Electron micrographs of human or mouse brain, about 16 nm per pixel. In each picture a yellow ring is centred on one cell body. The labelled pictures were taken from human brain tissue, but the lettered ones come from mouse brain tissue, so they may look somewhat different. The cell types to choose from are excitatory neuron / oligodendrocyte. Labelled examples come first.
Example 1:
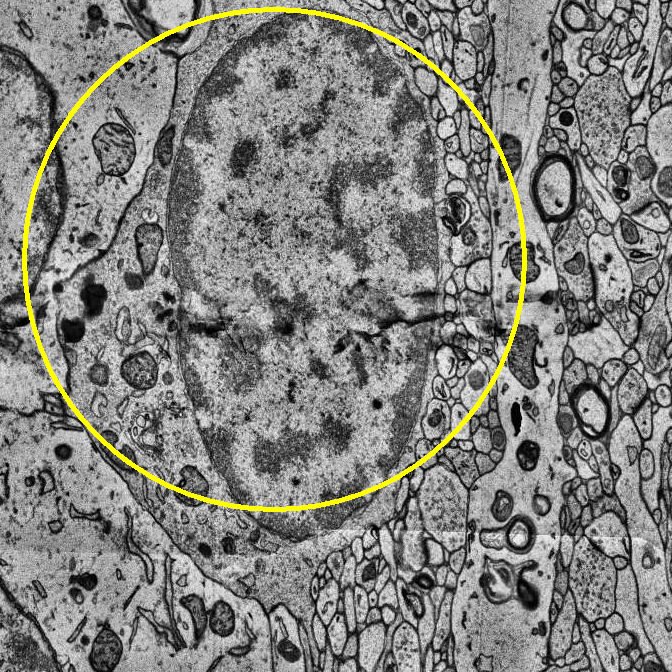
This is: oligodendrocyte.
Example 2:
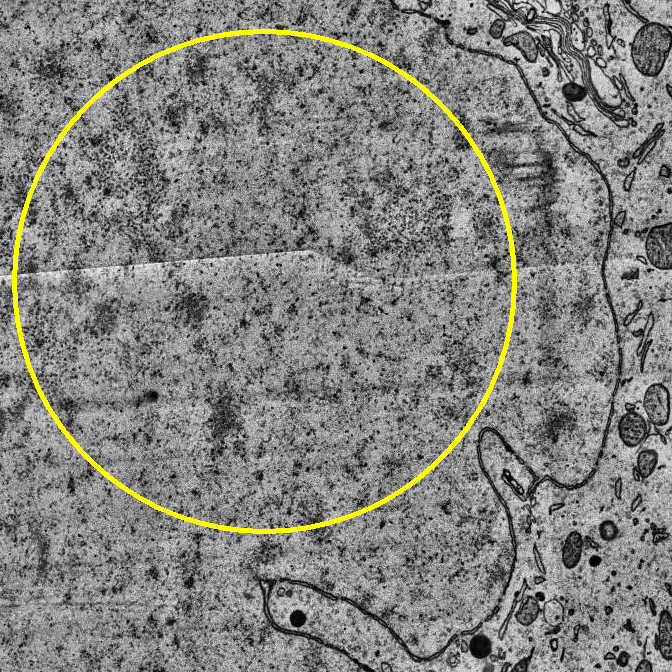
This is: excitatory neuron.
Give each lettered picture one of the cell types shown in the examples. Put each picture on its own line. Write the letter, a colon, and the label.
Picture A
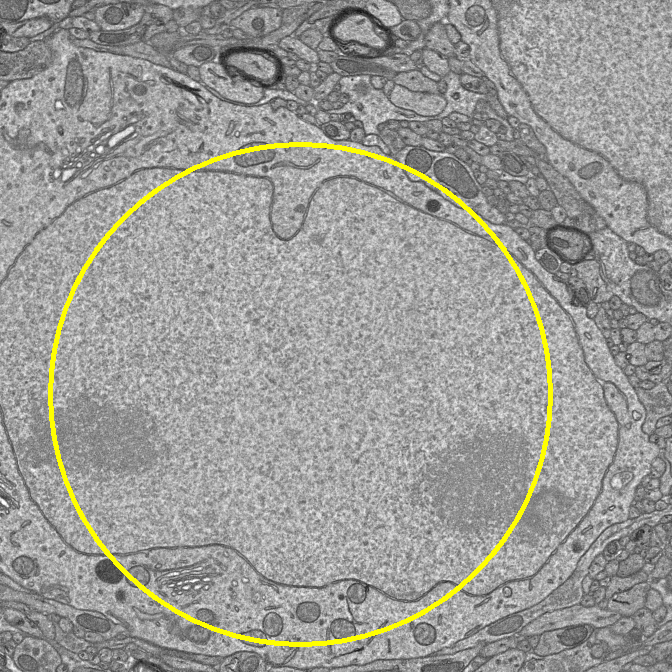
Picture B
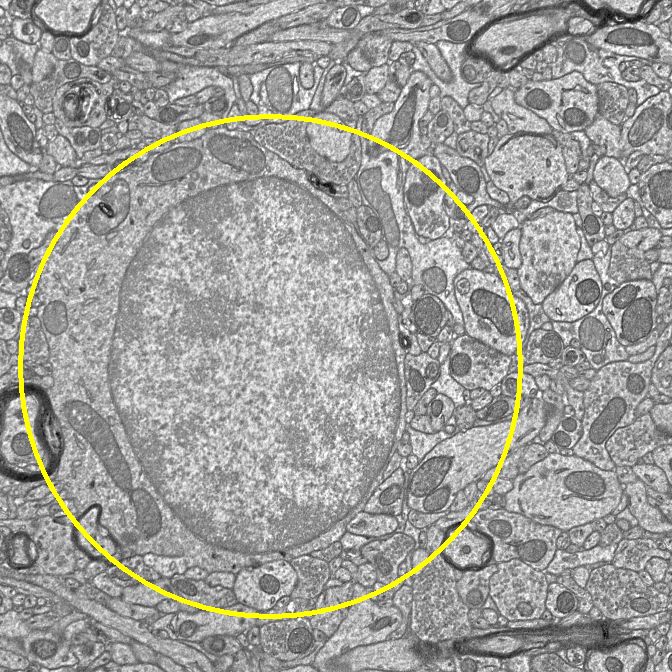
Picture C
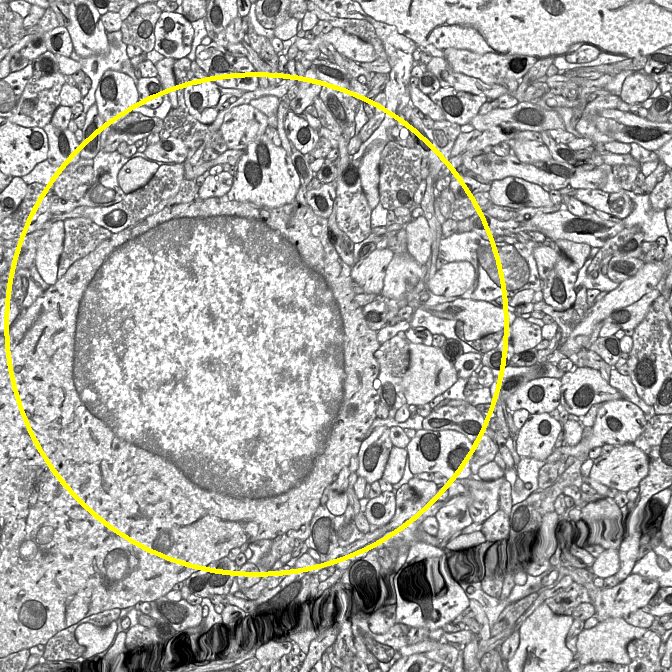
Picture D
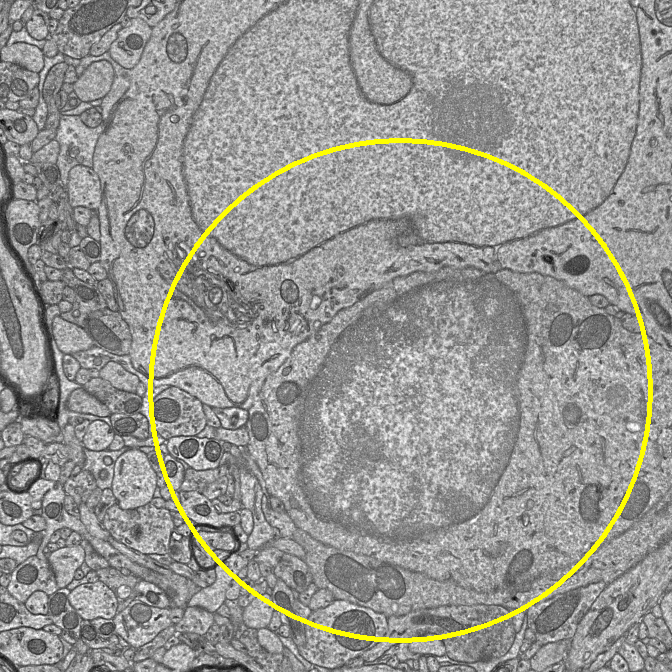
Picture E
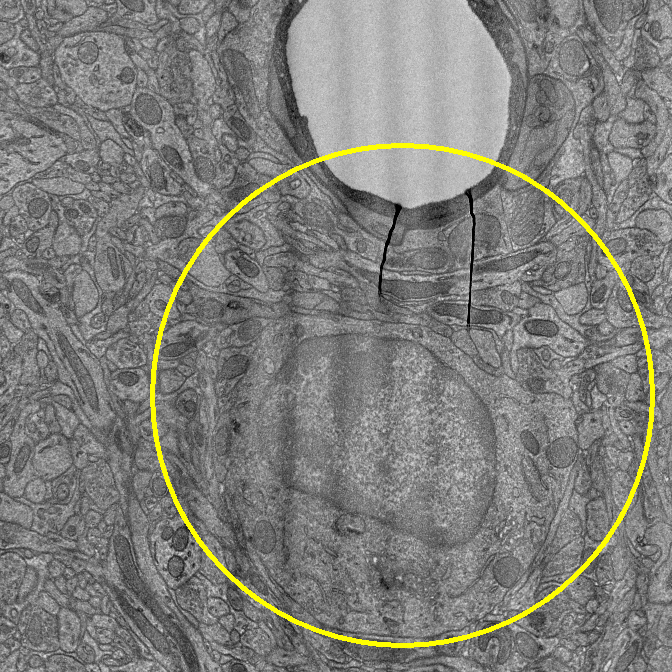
A: excitatory neuron.
B: oligodendrocyte.
C: oligodendrocyte.
D: oligodendrocyte.
E: oligodendrocyte.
